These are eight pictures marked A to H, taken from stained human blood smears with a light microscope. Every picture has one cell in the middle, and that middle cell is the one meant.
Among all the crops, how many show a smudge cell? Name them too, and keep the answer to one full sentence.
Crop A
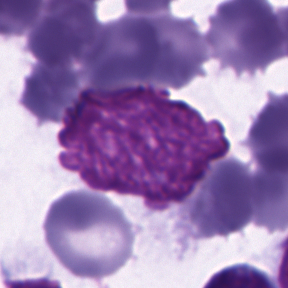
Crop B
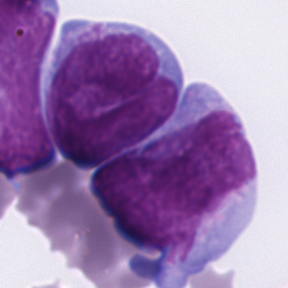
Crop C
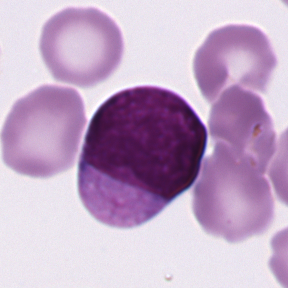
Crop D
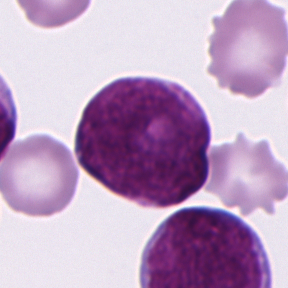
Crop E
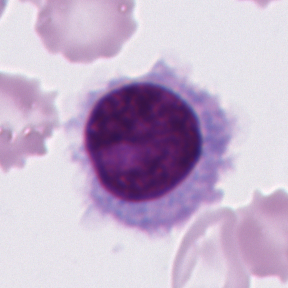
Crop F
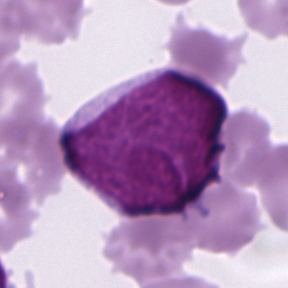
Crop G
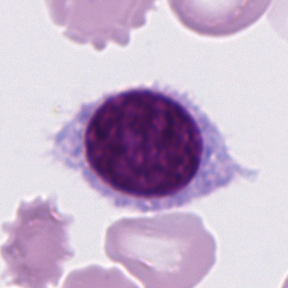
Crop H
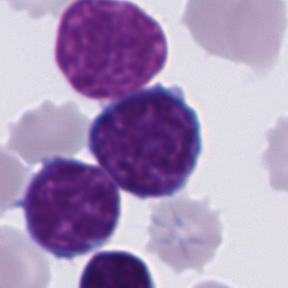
A single crop in this set shows a smudge cell, and it is crop A.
